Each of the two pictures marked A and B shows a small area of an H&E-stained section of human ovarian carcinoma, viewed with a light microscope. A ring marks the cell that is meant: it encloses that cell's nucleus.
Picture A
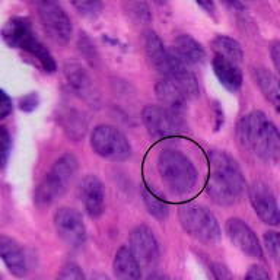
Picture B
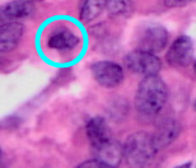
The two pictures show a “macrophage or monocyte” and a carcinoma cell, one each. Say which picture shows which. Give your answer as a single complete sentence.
In picture A the cell is a carcinoma cell; in picture B, a “macrophage or monocyte”.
